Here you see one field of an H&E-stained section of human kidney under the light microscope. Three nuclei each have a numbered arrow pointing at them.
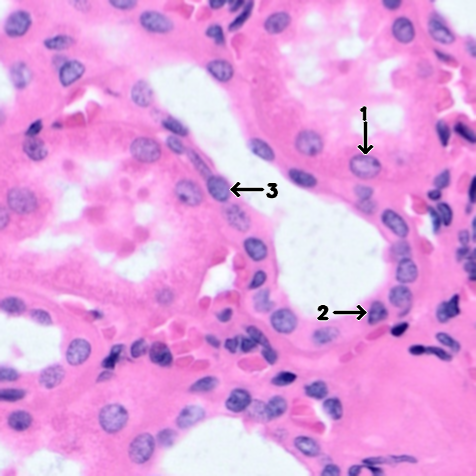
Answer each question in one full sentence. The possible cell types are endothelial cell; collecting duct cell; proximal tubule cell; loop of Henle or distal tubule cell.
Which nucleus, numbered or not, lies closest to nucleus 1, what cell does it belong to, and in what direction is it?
The nearest one is a collecting duct cell, found below nucleus 1.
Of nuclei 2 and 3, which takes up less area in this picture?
Nucleus 2 is the smaller one; nucleus 3 covers about 1.5 times its area.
